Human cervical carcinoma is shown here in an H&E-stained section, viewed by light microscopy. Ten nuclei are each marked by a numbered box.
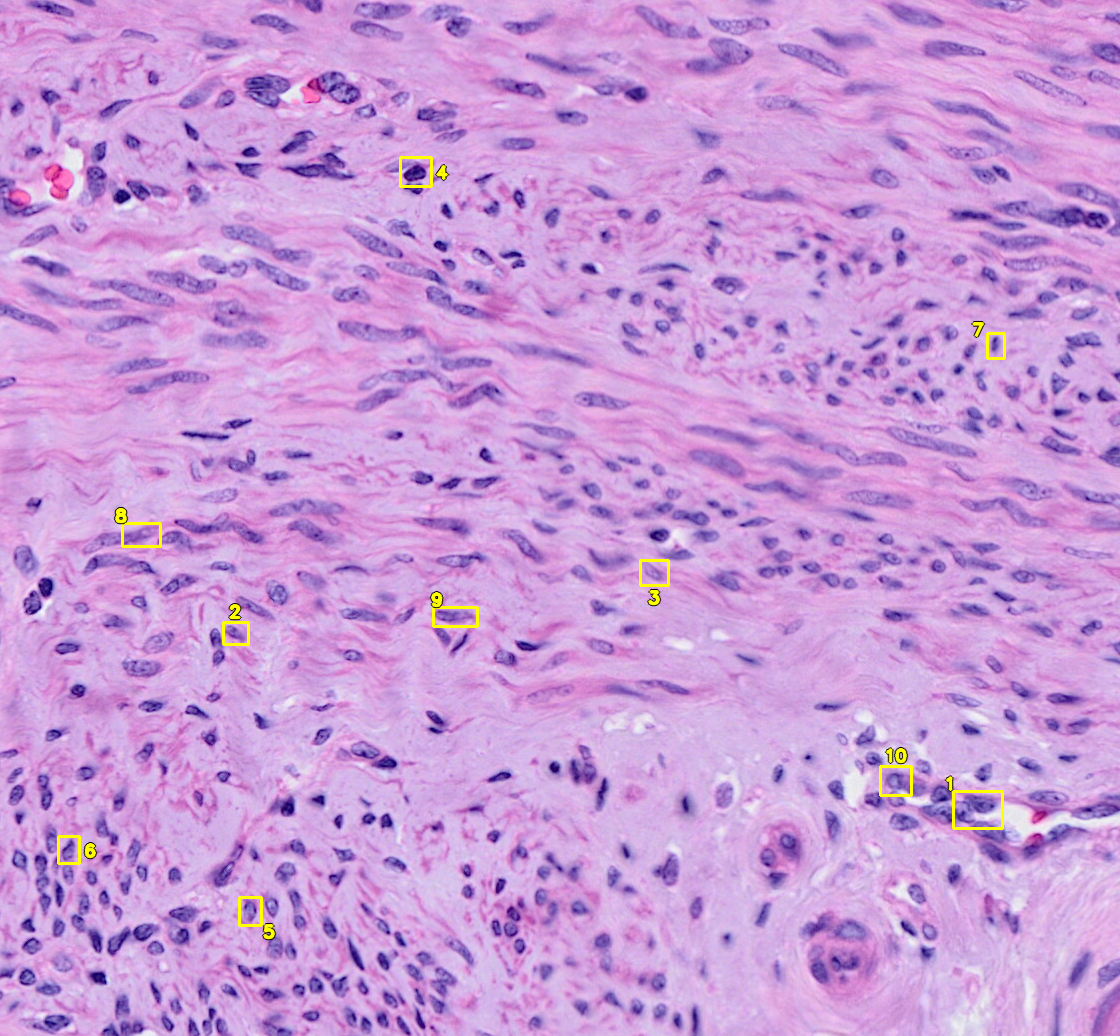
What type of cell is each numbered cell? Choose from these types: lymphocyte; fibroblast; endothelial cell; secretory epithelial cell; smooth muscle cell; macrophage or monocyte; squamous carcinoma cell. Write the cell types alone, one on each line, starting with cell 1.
endothelial cell
smooth muscle cell
smooth muscle cell
lymphocyte
smooth muscle cell
smooth muscle cell
fibroblast
smooth muscle cell
smooth muscle cell
endothelial cell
